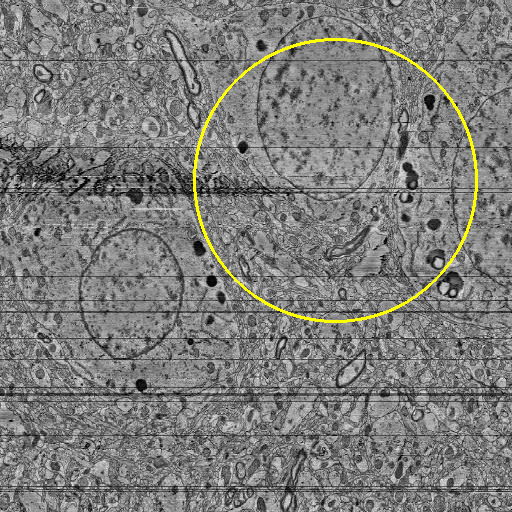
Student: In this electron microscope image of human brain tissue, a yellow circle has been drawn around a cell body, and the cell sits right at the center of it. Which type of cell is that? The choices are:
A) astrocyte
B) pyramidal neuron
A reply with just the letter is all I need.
B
